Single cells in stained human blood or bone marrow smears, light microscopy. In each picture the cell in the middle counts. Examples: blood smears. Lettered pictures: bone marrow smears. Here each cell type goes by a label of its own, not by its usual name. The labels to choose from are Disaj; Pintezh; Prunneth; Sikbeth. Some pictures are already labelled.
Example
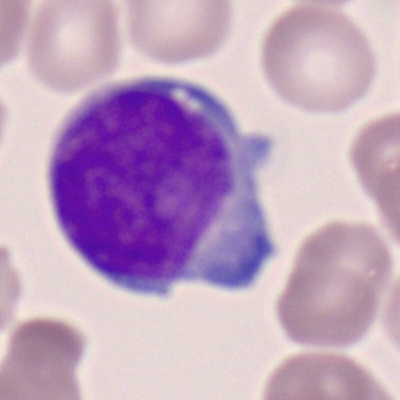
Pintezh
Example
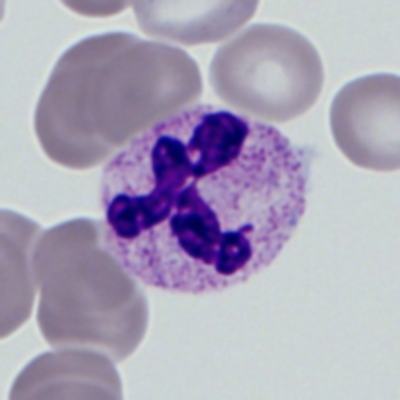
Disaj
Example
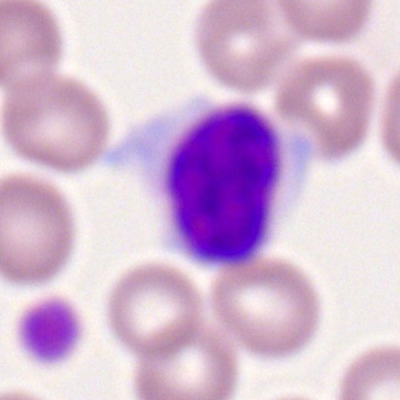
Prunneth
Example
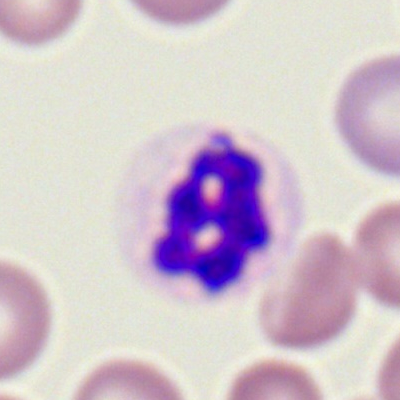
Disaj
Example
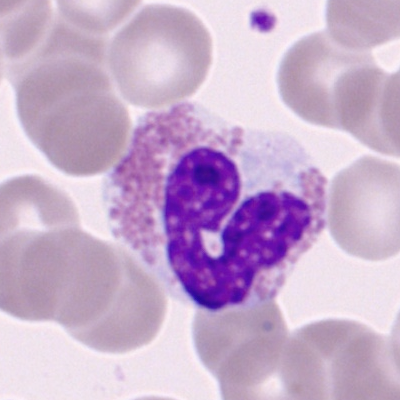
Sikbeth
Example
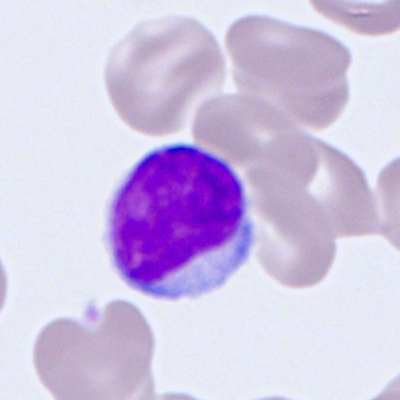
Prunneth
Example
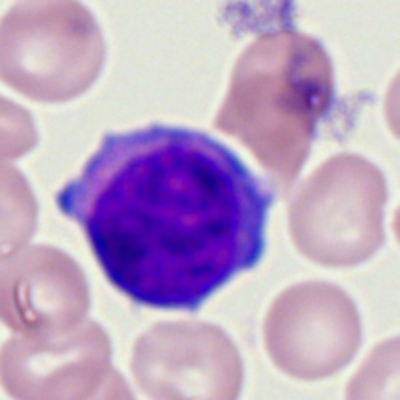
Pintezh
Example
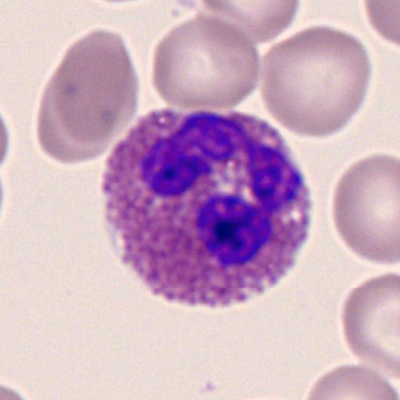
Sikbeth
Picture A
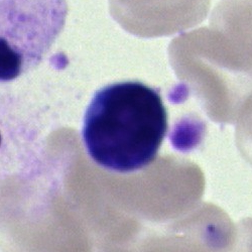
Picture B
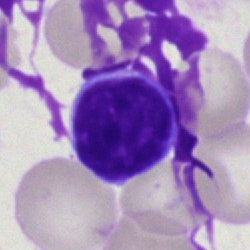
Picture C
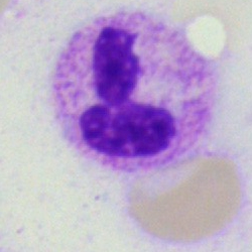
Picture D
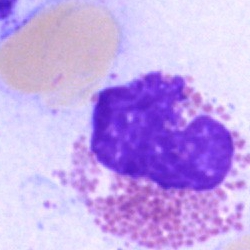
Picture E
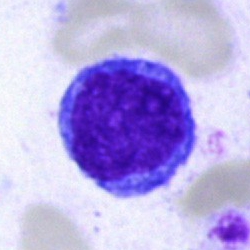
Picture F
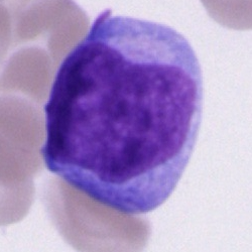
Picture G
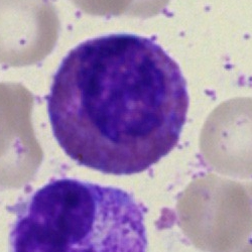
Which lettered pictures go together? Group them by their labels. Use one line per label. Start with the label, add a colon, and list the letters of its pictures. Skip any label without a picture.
Disaj: C
Pintezh: F
Prunneth: A, B, E
Sikbeth: D, G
